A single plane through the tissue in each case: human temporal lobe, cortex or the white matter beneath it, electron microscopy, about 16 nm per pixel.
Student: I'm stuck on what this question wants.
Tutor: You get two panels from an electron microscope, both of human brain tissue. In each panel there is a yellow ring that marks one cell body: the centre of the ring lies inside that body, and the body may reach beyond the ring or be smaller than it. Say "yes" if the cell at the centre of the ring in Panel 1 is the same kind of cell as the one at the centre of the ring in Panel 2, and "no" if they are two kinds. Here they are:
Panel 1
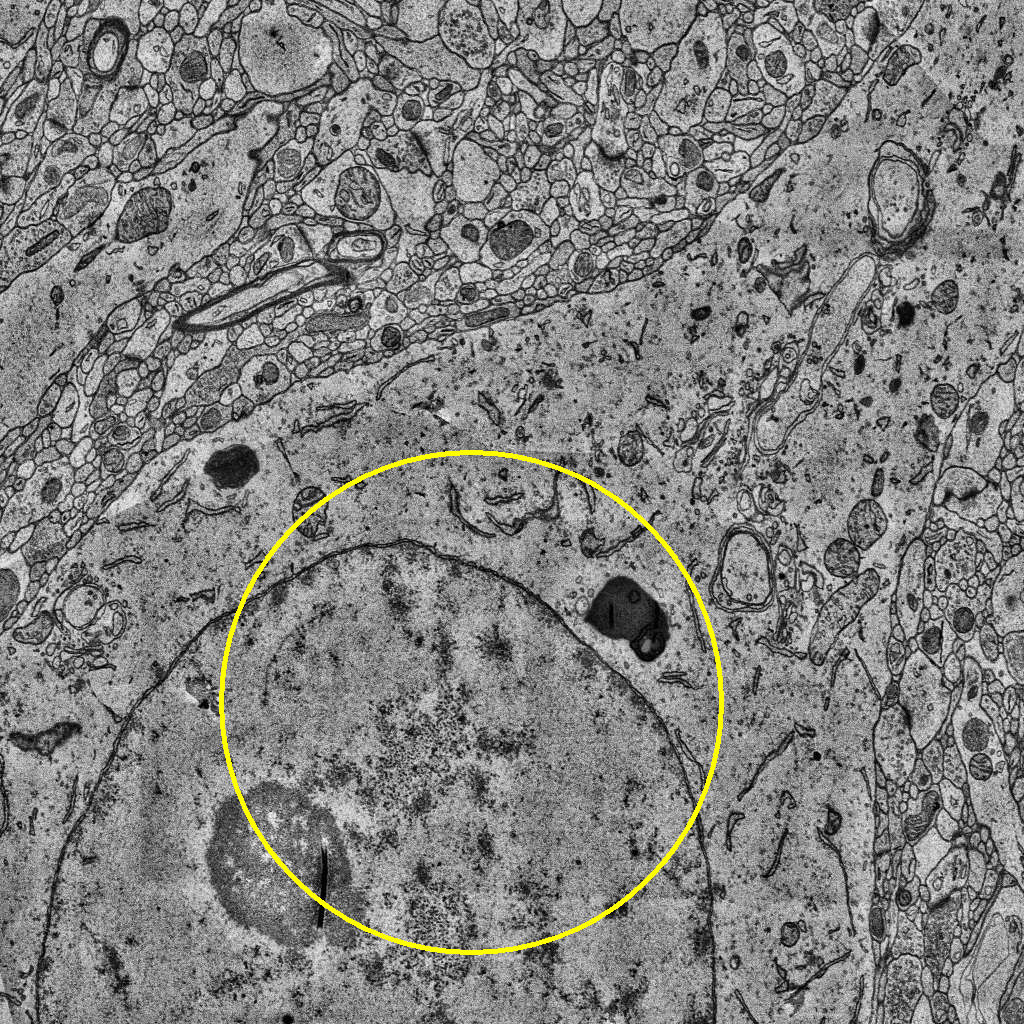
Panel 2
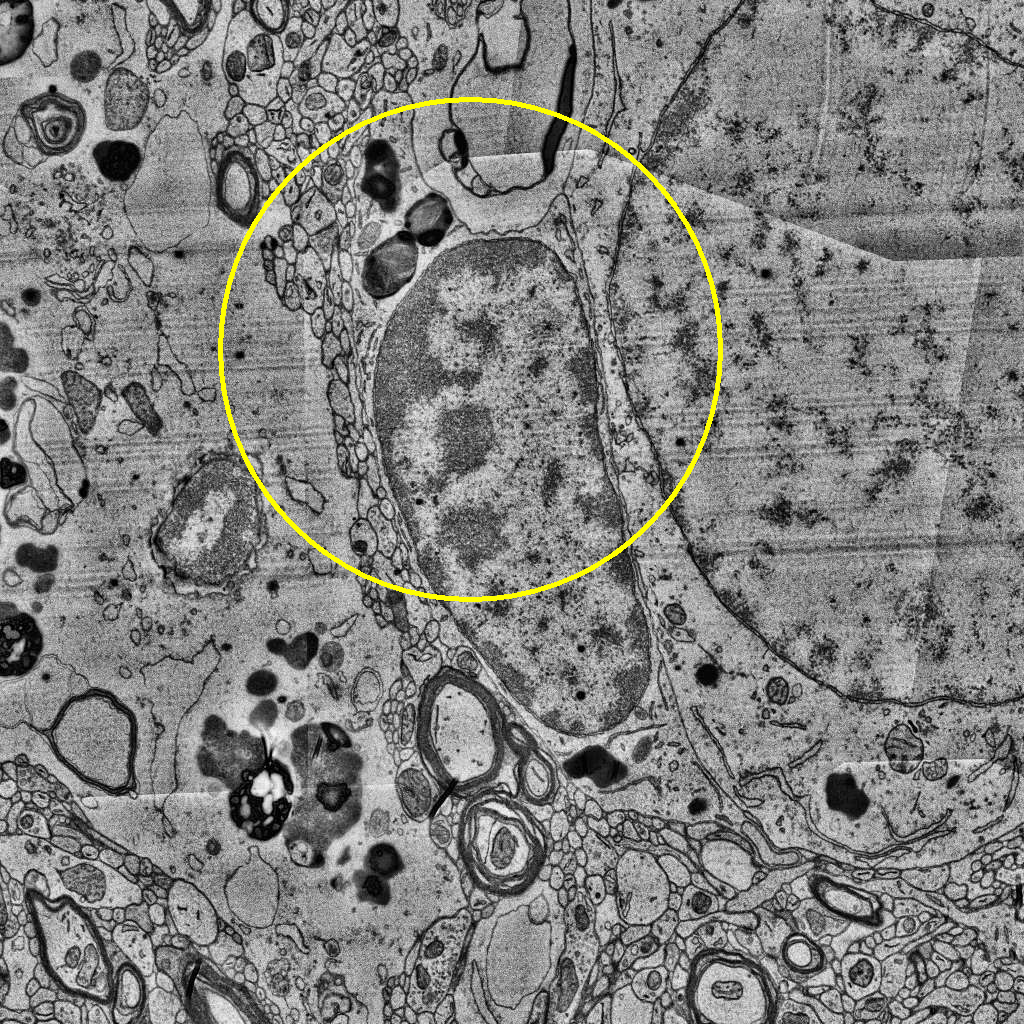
no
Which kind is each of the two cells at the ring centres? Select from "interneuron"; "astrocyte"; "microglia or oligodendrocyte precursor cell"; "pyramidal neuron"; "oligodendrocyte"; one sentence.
For the first picture it is a pyramidal neuron; for the second, a microglial cell or oligodendrocyte precursor cell.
